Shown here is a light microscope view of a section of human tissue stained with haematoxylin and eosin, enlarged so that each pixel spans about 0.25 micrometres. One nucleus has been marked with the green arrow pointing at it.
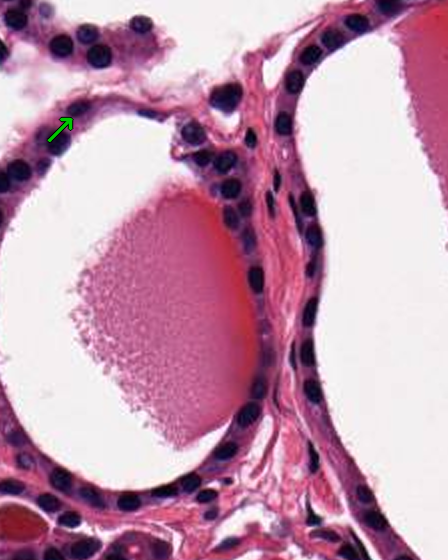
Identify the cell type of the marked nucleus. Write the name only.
thyroid follicular cell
